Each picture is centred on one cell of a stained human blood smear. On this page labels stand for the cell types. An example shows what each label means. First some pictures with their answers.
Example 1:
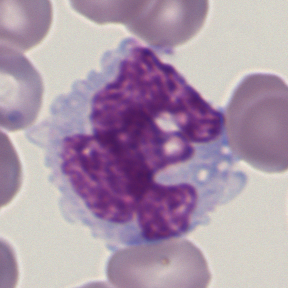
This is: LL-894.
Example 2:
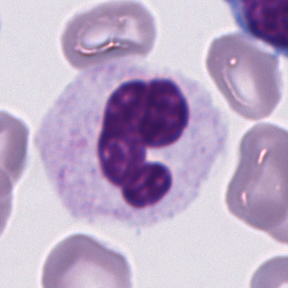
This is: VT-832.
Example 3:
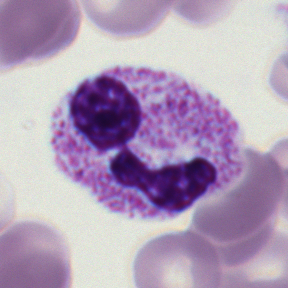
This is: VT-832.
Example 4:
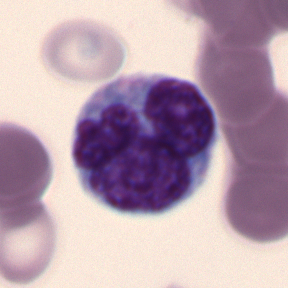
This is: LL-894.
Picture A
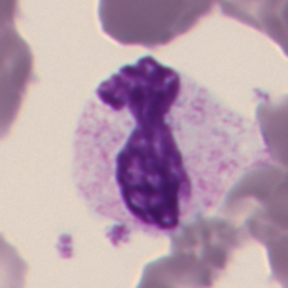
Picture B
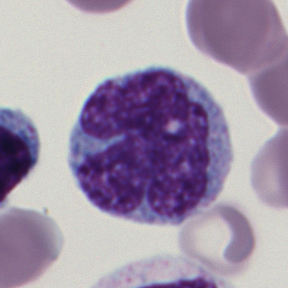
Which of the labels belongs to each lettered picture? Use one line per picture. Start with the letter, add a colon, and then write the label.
A: VT-832.
B: LL-894.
